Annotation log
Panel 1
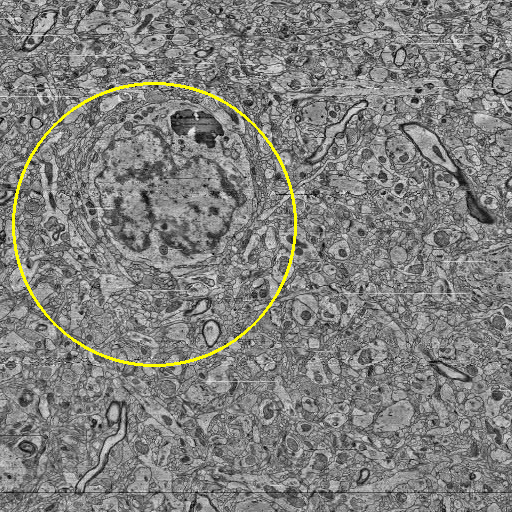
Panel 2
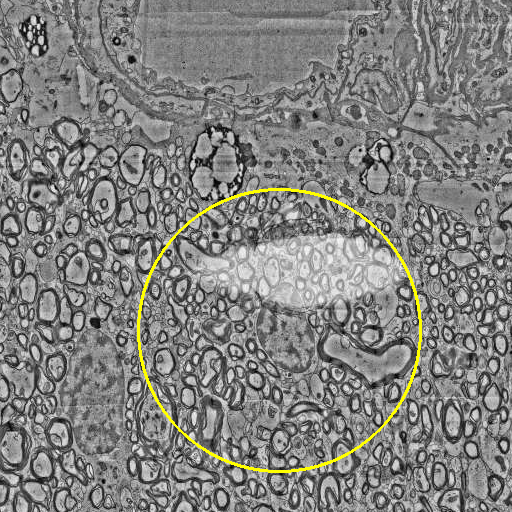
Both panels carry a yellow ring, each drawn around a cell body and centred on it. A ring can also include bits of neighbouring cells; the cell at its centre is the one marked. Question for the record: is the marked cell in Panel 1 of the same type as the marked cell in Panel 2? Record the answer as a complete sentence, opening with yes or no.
No, the marked cells in Panel 1 and Panel 2 are of two types.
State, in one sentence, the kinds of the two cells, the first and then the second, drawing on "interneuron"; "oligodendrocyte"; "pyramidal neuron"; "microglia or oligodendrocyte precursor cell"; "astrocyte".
The ring in the second picture is centred on a microglial cell or oligodendrocyte precursor cell, the ring in the first on an interneuron.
